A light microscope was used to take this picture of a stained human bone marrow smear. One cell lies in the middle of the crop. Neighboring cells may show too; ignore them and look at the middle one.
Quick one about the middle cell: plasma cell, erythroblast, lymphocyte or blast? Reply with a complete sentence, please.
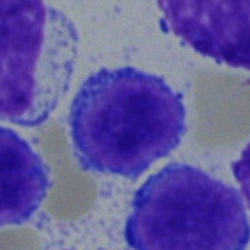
For this crop, the cell in the middle is a lymphocyte.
